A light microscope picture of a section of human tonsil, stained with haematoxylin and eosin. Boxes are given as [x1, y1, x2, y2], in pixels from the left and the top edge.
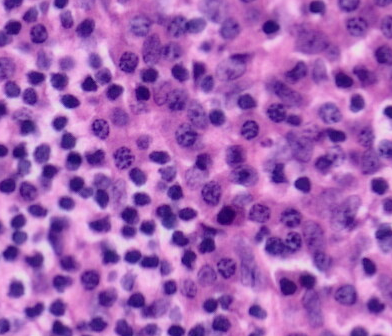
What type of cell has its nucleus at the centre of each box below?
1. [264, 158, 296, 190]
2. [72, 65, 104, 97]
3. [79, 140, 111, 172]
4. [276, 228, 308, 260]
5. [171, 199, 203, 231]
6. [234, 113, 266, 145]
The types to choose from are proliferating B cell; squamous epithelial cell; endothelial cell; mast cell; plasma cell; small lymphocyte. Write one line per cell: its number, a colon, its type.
1: plasma cell
2: small lymphocyte
3: plasma cell
4: plasma cell
5: small lymphocyte
6: plasma cell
